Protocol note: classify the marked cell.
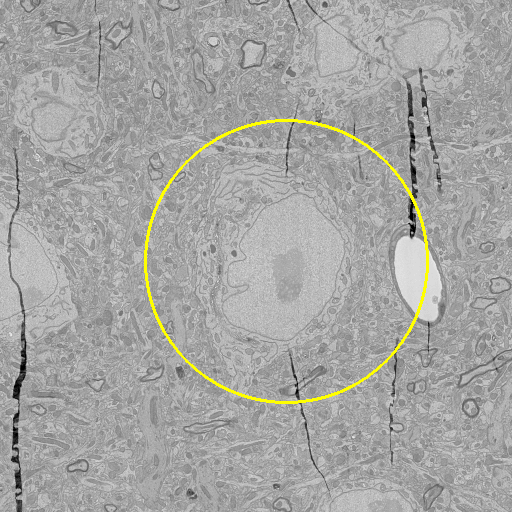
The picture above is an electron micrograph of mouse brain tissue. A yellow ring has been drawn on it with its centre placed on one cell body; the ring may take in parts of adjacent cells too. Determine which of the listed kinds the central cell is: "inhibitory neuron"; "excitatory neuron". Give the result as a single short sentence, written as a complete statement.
The central cell is an inhibitory neuron.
